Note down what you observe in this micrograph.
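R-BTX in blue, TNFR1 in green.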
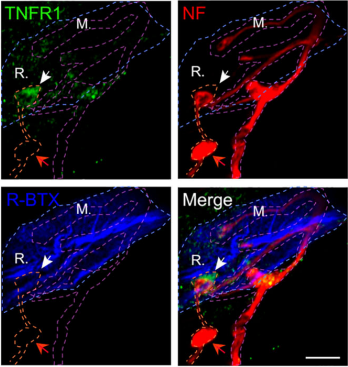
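This is a neuromuscular junction seen from above: red nerve branches run in and end on a blue-stained synaptic area of the muscle fibre. Green spots gather where that withdrawing branch meets the blue area.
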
